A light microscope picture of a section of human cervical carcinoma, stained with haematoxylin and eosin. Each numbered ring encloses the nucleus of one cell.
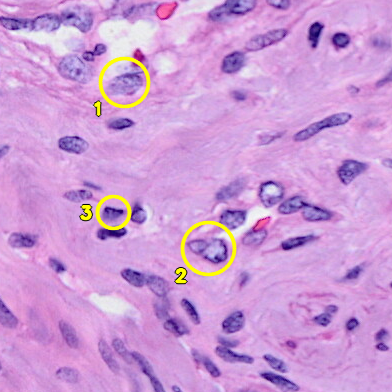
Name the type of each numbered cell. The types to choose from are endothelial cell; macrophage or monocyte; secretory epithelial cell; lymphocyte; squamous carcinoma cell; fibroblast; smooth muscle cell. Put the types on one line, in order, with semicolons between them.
endothelial cell; endothelial cell; fibroblast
